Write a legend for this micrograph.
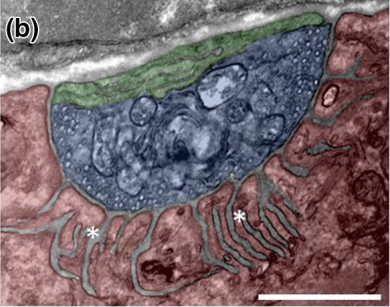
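A blue-tinted nerve terminal packed with small round synaptic vesicles and several mitochondria sits in a shallow depression on the surface of a muscle fibre. A thin green-tinted cell layer caps the upper surface of the terminal. Beneath the terminal the red muscle surface is thrown into many deep, narrow, regularly spaced folds, marked by asterisks. The terminal lies against this folded surface across a narrow cleft along its whole lower border. This is the junction of a motor axon terminal with the postsynaptic area of the muscle.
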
